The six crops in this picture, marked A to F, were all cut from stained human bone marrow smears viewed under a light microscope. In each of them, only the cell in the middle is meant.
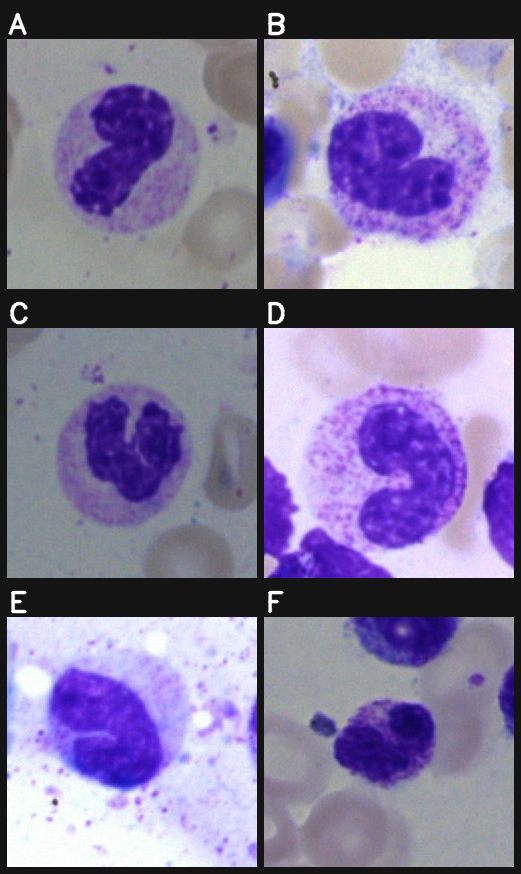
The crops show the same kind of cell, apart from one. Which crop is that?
F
